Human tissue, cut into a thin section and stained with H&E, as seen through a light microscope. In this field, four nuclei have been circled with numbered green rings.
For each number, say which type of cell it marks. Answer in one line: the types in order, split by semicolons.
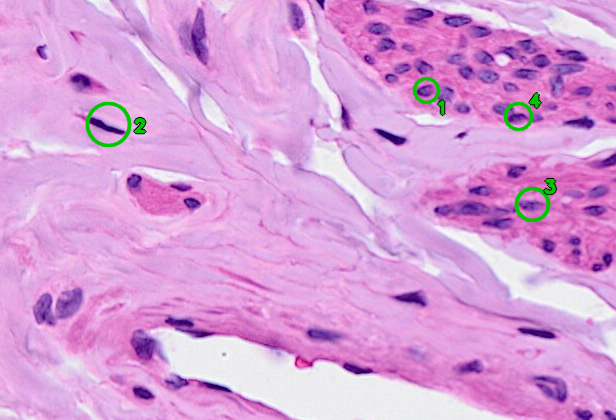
smooth muscle cell; fibroblast; smooth muscle cell; smooth muscle cell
